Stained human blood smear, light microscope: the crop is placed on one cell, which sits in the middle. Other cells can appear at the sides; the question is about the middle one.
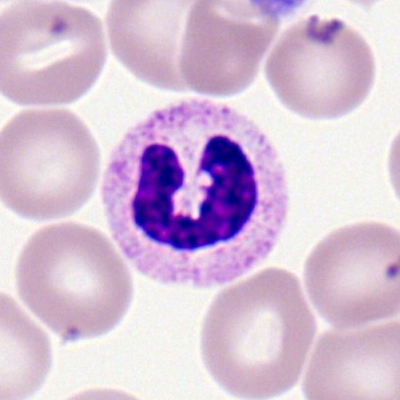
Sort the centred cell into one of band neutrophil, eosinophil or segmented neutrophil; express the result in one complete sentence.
The cell found in the middle of this crop is a band neutrophil.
